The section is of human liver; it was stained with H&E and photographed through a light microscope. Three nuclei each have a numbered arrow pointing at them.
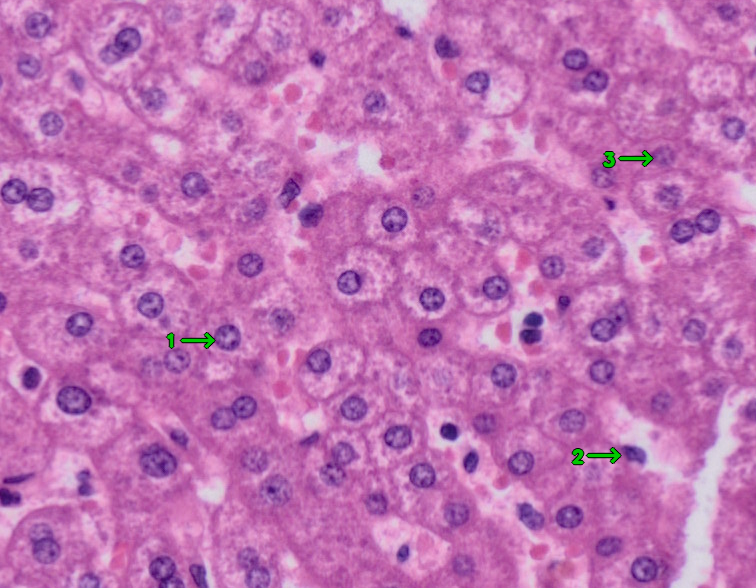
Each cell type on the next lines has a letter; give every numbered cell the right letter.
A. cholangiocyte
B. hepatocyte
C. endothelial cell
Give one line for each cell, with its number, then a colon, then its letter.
1: B
2: C
3: B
